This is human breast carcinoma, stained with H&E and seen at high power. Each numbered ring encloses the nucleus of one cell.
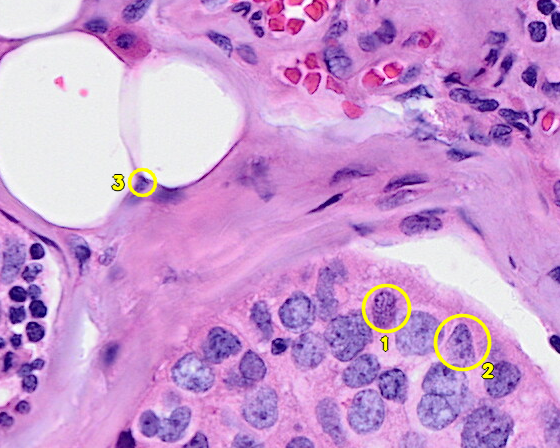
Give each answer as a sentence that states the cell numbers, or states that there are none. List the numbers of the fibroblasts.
Unlike the other numbered cells, cell 3 is a fibroblast.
